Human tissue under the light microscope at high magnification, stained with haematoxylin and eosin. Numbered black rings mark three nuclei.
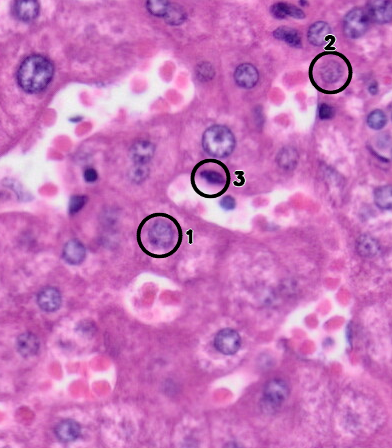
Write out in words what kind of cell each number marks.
Cell 1 is a hepatocyte, cell 2 is a hepatocyte and cell 3 is a fibroblast or stellate cell.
